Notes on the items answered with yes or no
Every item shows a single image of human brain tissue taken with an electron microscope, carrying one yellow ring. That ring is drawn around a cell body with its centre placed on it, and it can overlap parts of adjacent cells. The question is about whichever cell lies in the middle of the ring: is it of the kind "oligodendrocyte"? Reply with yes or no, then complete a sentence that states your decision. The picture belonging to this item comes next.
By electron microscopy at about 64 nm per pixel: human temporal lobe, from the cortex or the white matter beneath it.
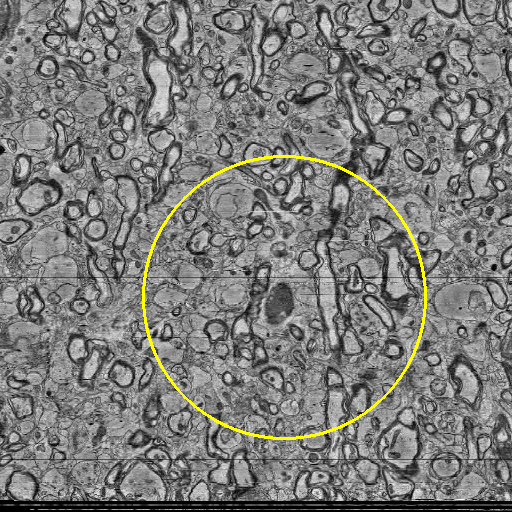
No, this micrograph shows a cell of another kind in the middle of the ring.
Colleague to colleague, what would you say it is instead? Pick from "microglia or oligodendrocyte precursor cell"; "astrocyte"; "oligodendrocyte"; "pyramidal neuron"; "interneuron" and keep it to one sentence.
It is a microglial cell or oligodendrocyte precursor cell that the ring is centred on.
